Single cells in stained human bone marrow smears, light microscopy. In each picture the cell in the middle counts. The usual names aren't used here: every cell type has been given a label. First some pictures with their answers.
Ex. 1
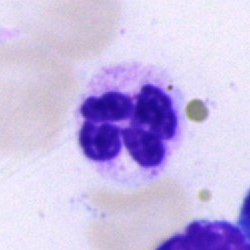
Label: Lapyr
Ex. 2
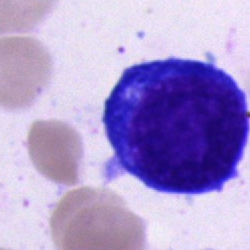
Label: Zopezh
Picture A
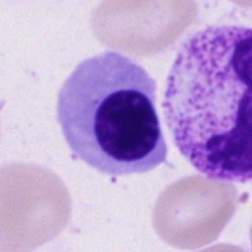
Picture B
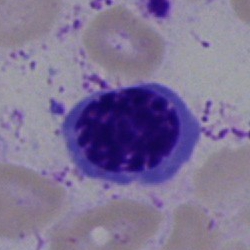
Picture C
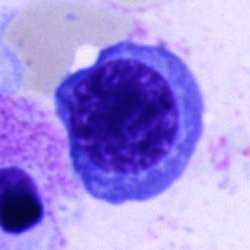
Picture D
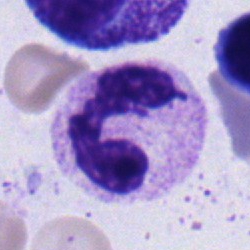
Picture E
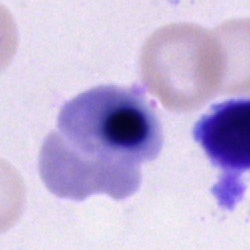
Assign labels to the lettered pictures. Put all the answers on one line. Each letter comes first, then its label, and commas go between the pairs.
A Zopezh, B Zopezh, C Zopezh, D Lapyr, E Zopezh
